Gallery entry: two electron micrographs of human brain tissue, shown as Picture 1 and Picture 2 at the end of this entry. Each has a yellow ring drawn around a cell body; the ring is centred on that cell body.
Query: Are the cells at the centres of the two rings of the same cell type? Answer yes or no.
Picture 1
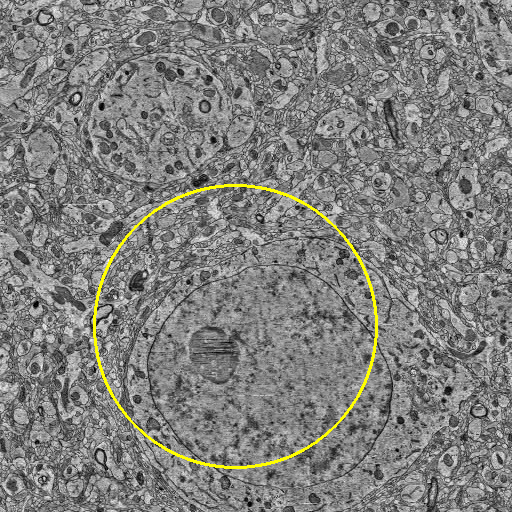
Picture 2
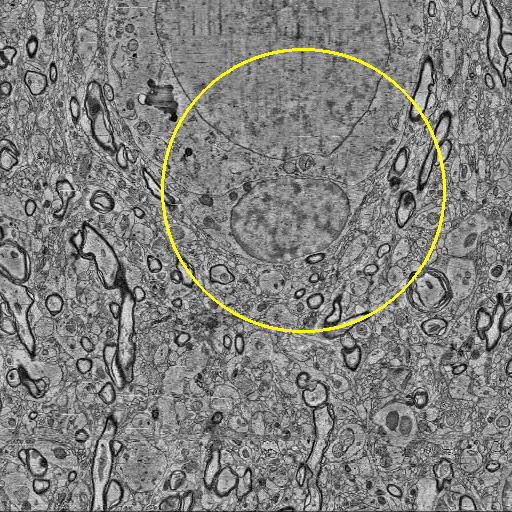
no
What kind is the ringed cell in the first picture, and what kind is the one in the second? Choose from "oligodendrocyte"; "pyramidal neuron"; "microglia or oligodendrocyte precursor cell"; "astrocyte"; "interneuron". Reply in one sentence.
The first cell is a pyramidal neuron; the second is an oligodendrocyte.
